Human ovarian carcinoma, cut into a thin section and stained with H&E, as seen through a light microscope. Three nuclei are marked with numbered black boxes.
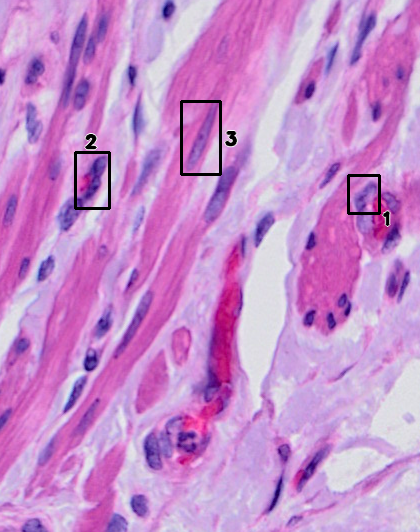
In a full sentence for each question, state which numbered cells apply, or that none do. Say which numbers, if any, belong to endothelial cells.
Cells 1 and 2 are endothelial cells by cell type.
